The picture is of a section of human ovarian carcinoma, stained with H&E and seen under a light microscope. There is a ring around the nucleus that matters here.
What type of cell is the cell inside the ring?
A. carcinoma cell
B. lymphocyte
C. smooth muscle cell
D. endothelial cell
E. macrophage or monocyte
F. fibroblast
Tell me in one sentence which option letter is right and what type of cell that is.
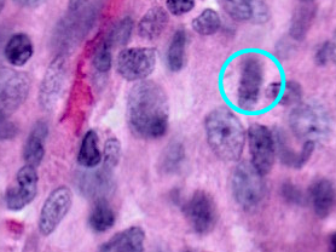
Here the cell inside the ring is a macrophage or monocyte; pick option E.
